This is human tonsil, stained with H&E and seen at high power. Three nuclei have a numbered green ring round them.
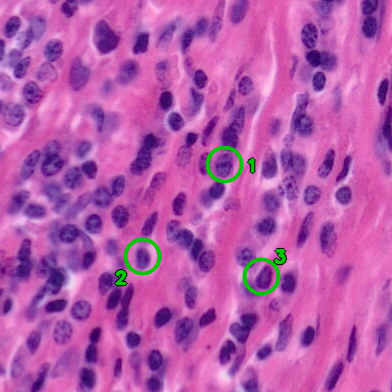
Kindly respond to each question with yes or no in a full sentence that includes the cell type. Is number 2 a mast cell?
Yes, the cell with number 2 is a mast cell.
